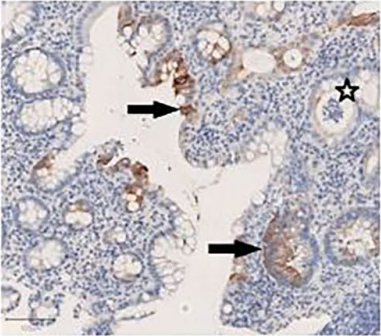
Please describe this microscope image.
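This is intestinal mucosa with its crypts cut mostly across, so they appear as rings of epithelial cells around small lumina, many with pale goblet-cell vacuoles. The lamina propria between the crypts is crowded with small round cells with dark blue nuclei, far denser than in quiet mucosa. Some epithelial cells along the surface and in a few crypts are stained brown, standing out against the blue-counterstained cells beside them. In one crypt near the upper right the lumen is filled with a cluster of cells, marking a crypt abscess. The crypts are fewer and more irregular in spacing than the orderly rows of normal mucosa.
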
